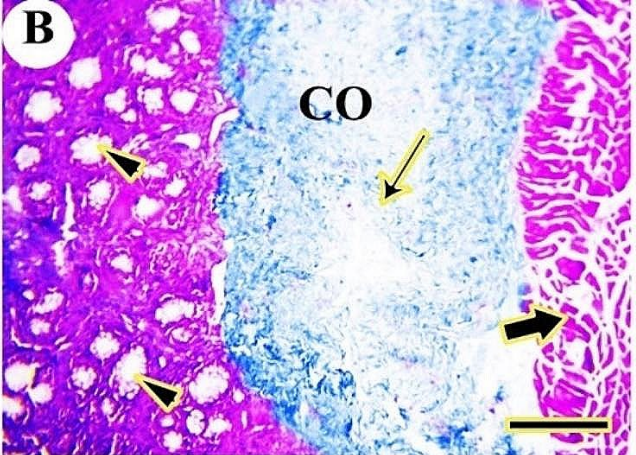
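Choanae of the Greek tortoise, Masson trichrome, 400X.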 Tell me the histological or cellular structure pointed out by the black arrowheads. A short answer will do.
Mucous gland.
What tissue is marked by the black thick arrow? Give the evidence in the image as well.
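The thick arrow lies on red, elongated fiber bundles at the right edge. The fibers are separated by clear clefts.
Hence: muscle.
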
